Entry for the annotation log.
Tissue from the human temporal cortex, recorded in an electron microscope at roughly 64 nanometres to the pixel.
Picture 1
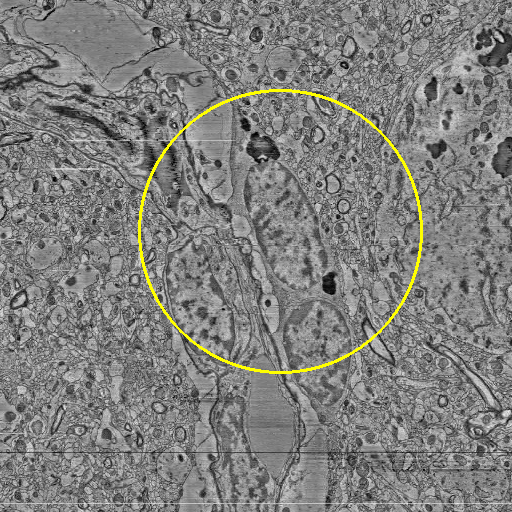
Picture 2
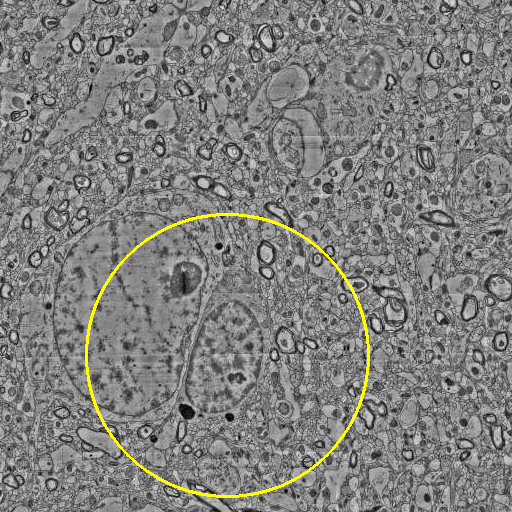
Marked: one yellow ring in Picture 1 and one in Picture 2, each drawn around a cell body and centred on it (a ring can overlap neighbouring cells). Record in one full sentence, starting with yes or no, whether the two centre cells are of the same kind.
Yes, both cells are of the same kind.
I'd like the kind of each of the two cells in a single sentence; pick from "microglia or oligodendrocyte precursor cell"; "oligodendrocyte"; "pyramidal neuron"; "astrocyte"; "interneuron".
Both rings mark an oligodendrocyte, one in each picture.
